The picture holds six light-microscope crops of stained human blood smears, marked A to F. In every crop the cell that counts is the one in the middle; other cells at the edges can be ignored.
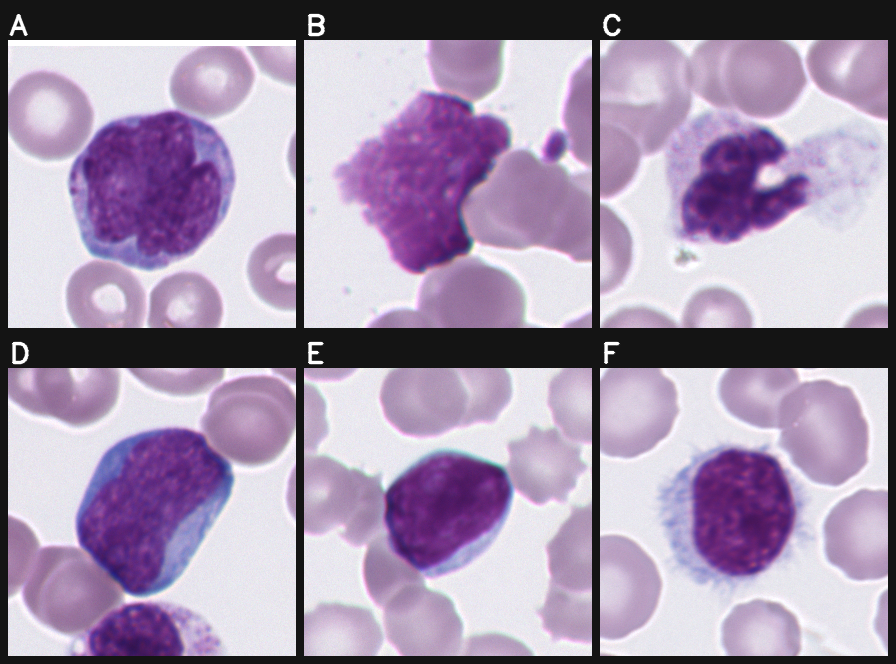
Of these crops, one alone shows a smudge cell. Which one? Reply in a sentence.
On review of the set, crop B is the one showing a smudge cell.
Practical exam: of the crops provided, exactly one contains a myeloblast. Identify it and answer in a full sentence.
Crop D is where a myeloblast is to be found.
